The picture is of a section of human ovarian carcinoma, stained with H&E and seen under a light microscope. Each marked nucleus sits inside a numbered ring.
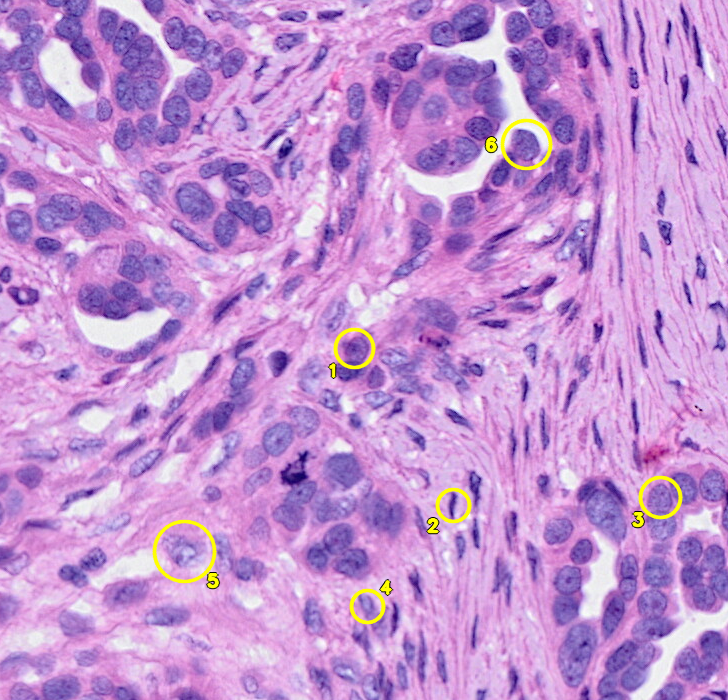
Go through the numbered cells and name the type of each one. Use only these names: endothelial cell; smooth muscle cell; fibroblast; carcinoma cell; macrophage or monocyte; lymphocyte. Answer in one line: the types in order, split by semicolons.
carcinoma cell; fibroblast; carcinoma cell; fibroblast; fibroblast; carcinoma cell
